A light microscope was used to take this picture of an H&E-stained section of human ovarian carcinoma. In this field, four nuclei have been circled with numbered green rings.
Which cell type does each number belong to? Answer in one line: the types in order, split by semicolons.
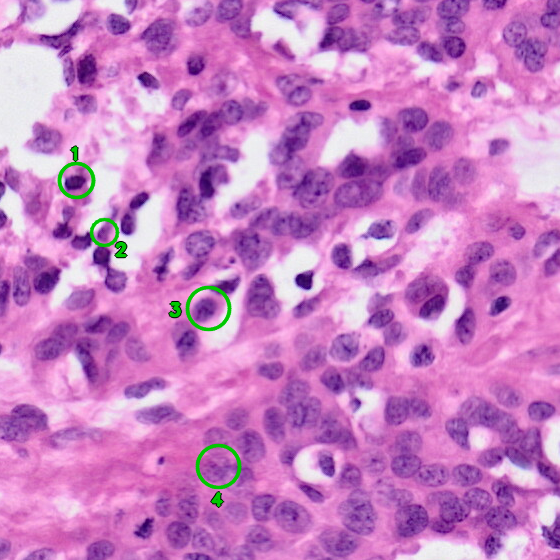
macrophage or monocyte; carcinoma cell; carcinoma cell; carcinoma cell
